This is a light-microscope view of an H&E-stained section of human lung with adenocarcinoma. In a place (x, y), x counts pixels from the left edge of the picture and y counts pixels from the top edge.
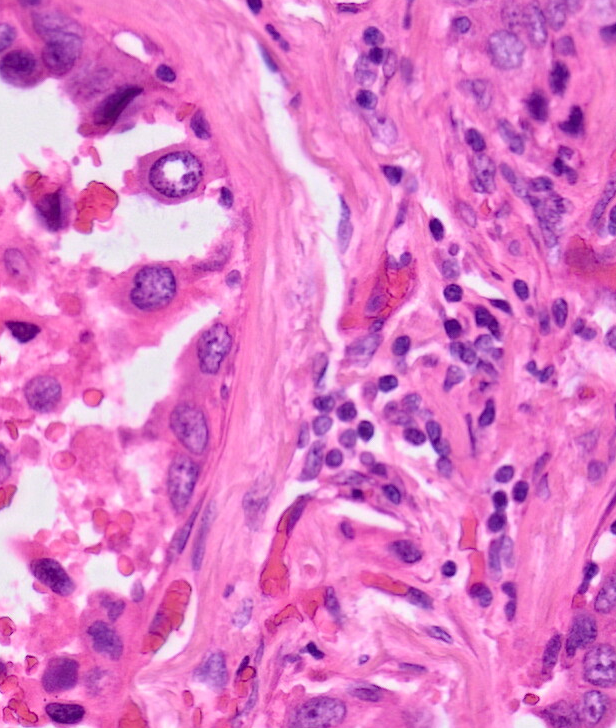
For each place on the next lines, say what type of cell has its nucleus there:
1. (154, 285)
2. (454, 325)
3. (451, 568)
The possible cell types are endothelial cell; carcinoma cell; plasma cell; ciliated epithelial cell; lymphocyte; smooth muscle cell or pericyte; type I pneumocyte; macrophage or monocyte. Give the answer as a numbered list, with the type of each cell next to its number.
1. carcinoma cell
2. lymphocyte
3. lymphocyte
